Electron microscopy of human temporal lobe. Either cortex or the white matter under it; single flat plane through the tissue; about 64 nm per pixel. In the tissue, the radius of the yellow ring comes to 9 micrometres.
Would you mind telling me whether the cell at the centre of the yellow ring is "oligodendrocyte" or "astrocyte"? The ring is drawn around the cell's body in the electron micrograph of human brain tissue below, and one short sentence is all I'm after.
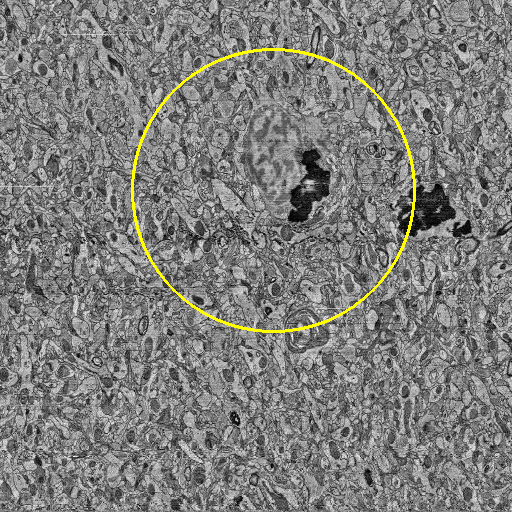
In the centre of the ring lies an oligodendrocyte.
